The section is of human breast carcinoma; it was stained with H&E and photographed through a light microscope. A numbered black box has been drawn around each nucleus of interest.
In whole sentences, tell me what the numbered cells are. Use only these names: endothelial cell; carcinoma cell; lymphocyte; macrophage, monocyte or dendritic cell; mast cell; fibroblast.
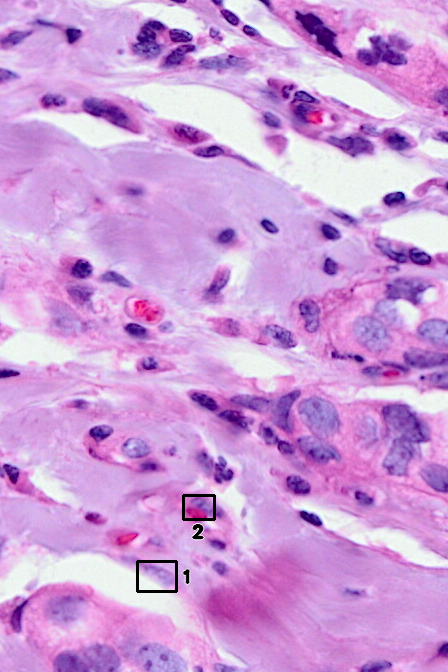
Cell 1 is a fibroblast and cell 2 is an endothelial cell.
